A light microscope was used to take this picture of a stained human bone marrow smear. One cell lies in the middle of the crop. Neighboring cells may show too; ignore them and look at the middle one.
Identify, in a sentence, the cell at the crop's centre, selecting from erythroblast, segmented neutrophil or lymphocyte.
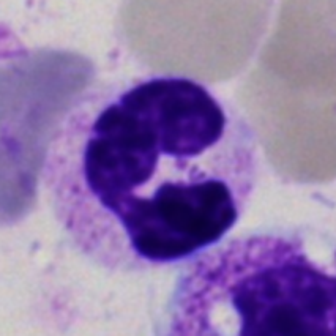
The cell at the middle of the frame should be recorded as a segmented neutrophil.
